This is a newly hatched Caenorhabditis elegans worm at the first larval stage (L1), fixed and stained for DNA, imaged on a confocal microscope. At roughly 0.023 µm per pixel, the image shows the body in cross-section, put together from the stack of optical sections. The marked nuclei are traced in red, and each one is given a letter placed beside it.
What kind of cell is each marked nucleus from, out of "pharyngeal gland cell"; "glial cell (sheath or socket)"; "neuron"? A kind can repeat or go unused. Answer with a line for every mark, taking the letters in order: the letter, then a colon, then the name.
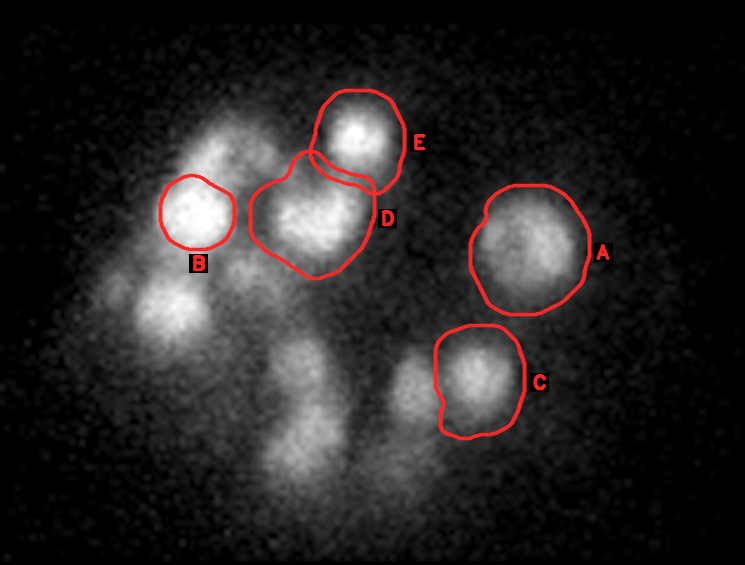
A: pharyngeal gland cell
B: neuron
C: neuron
D: pharyngeal gland cell
E: glial cell (sheath or socket)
